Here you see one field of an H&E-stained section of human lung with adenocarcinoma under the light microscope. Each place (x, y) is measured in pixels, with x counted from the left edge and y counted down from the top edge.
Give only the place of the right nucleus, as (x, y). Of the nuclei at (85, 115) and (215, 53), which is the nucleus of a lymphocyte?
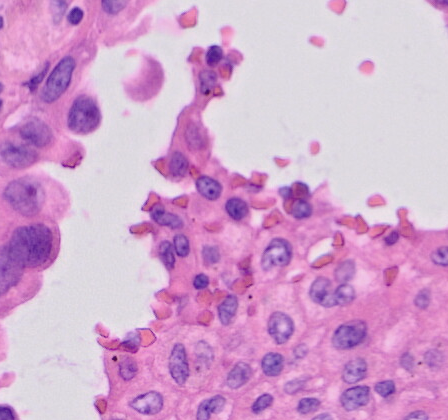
(215, 53)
